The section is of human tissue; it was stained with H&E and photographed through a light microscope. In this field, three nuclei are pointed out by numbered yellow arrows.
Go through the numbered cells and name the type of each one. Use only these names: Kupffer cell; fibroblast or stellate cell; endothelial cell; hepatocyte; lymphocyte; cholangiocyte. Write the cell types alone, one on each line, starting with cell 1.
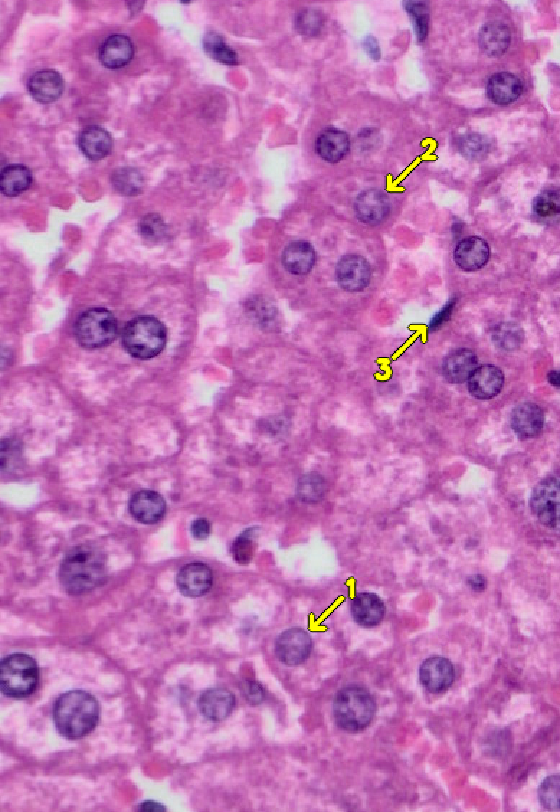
hepatocyte
hepatocyte
endothelial cell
